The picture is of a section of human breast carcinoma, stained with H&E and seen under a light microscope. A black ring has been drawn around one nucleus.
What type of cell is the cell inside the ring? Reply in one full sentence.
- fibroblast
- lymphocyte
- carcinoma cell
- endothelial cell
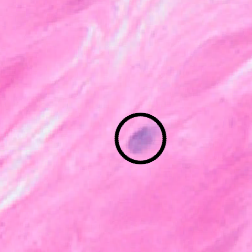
The cell meant here is a fibroblast.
